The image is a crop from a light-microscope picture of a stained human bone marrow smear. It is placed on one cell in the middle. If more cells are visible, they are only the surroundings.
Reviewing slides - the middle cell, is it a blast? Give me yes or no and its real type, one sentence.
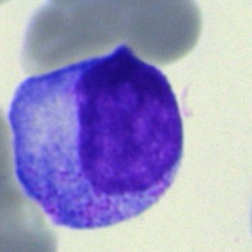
No, the central cell is properly termed a promyelocyte, not a blast.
